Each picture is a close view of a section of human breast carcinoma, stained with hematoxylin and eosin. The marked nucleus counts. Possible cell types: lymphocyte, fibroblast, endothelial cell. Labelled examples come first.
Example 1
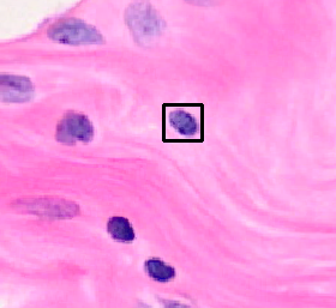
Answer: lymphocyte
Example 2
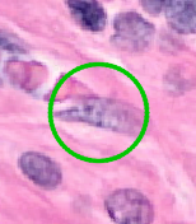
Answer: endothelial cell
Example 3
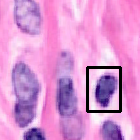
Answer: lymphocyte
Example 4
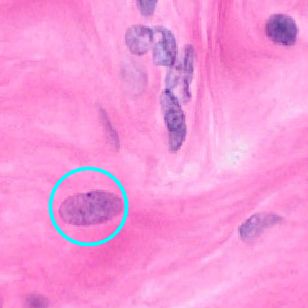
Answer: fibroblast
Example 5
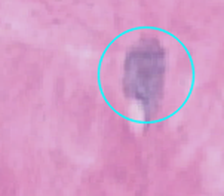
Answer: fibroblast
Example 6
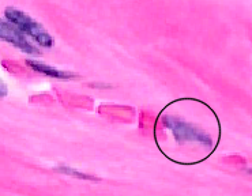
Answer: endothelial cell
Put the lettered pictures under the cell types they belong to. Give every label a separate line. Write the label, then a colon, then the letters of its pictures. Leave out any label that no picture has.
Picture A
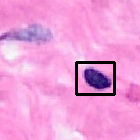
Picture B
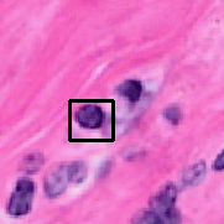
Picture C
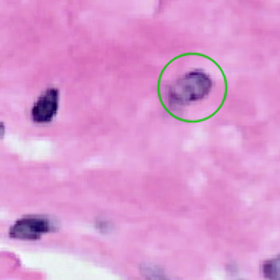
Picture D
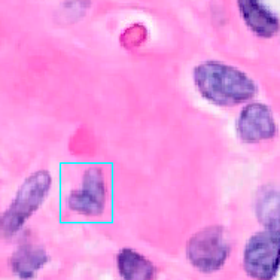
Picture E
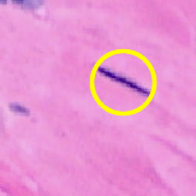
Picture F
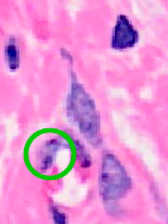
lymphocyte: A, B, C
fibroblast: E
endothelial cell: D, F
